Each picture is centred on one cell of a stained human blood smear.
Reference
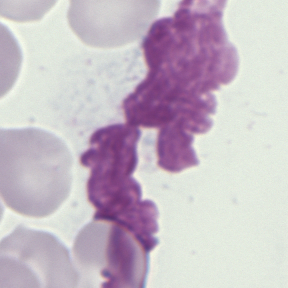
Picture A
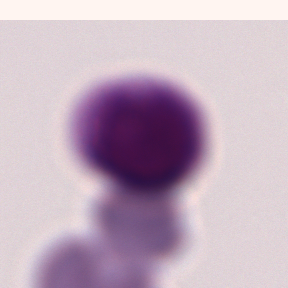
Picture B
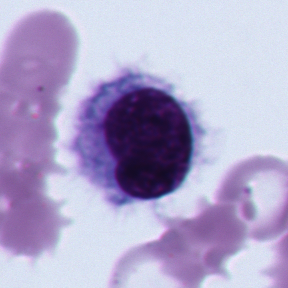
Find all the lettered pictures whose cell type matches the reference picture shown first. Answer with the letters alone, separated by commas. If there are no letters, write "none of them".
A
